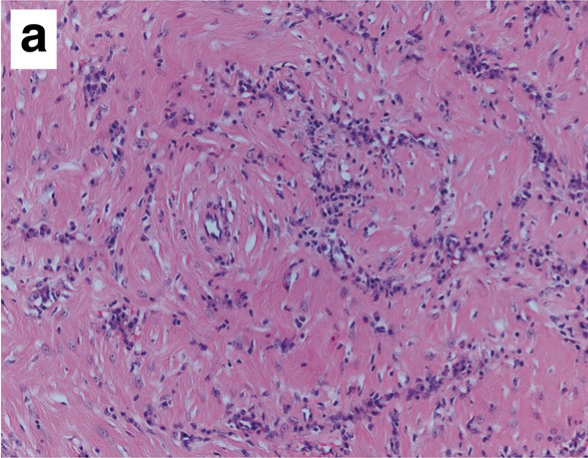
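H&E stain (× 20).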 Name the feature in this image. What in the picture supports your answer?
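Pink fibrous bands are arranged in a concentric, swirling pattern. A small vessel lies at the centre of one whorl on the left. That points to this answer: whorled bundle of collagen fiber.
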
